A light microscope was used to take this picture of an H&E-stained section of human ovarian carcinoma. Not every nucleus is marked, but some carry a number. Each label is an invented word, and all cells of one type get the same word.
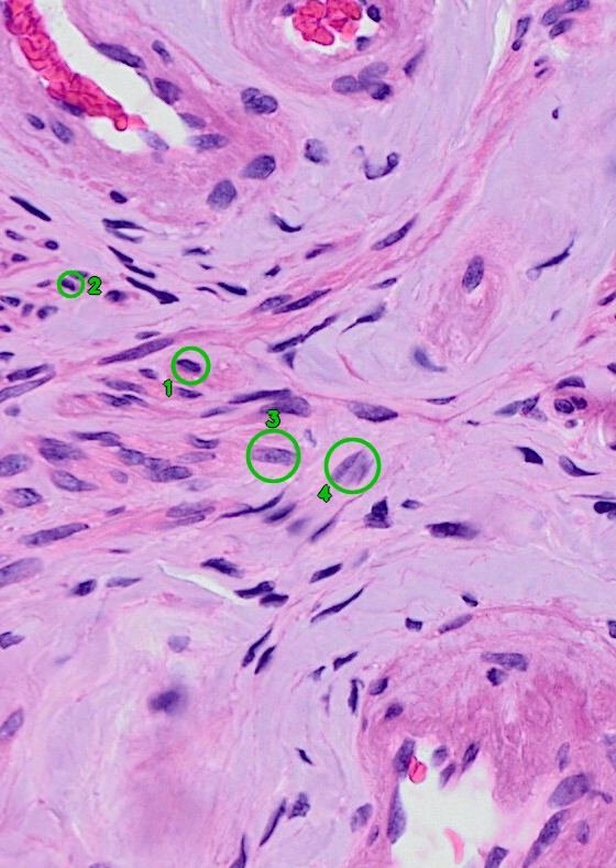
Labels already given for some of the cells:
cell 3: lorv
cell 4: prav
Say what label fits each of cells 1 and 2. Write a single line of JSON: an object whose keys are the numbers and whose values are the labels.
{"1": "lorv", "2": "lorv"}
